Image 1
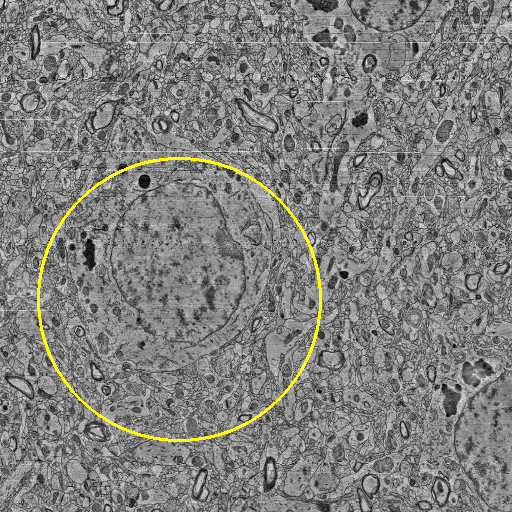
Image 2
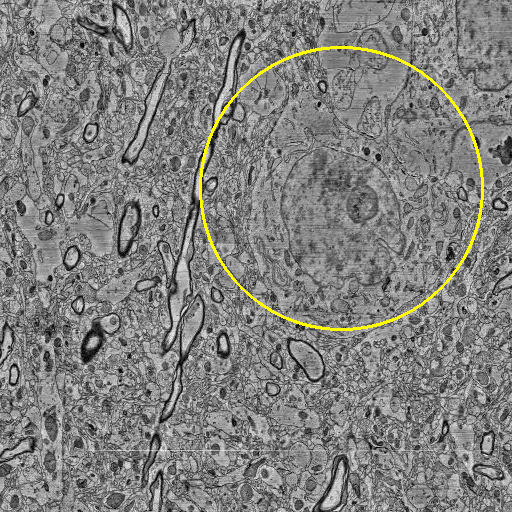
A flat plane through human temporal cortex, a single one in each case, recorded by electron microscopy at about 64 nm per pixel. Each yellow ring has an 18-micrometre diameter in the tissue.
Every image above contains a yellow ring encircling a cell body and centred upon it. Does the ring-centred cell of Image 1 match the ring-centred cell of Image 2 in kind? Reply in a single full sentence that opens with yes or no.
No, the cell at the ring's centre in Image 1 is a separate kind from that in Image 2.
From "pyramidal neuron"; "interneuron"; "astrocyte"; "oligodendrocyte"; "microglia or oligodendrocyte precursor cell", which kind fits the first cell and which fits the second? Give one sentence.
The cell marked in the first picture is a pyramidal neuron, and the one marked in the second is an interneuron.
